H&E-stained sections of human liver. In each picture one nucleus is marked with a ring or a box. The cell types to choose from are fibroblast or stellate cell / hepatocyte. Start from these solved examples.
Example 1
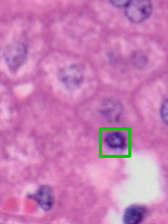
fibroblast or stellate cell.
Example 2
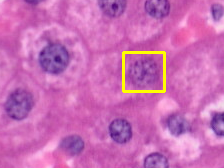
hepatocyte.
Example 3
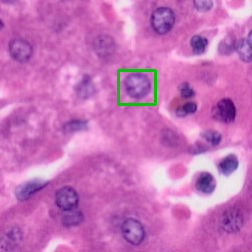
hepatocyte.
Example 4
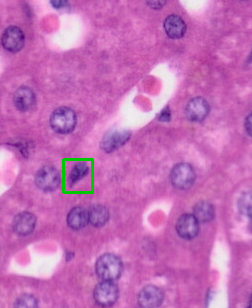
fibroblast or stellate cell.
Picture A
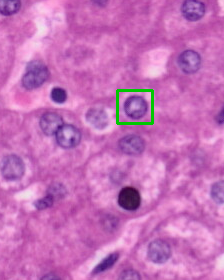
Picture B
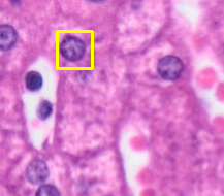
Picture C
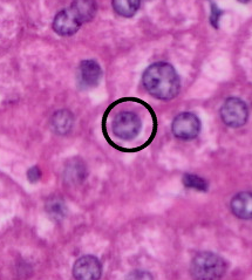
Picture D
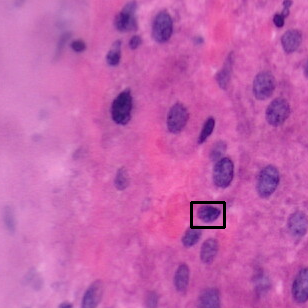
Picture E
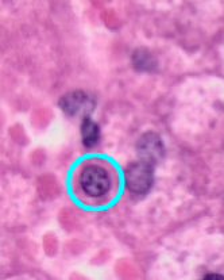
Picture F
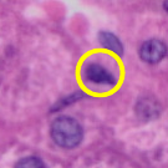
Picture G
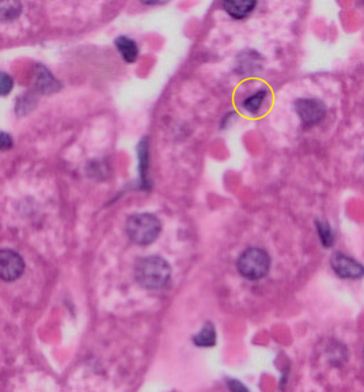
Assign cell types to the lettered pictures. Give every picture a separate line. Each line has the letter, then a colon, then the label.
A: hepatocyte.
B: hepatocyte.
C: hepatocyte.
D: fibroblast or stellate cell.
E: hepatocyte.
F: fibroblast or stellate cell.
G: fibroblast or stellate cell.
